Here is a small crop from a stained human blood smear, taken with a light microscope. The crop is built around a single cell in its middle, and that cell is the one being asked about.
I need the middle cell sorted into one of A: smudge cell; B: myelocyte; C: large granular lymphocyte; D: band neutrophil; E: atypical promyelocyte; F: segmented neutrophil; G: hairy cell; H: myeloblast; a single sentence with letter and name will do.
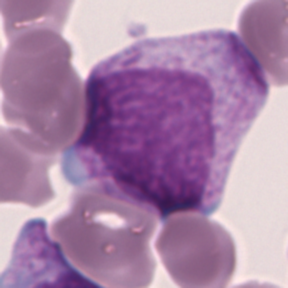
The middle of the crop contains an atypical promyelocyte, so option E is right.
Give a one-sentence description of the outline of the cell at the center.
Instead of a smooth edge, this cell has an irregular one, ragged or with projections.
